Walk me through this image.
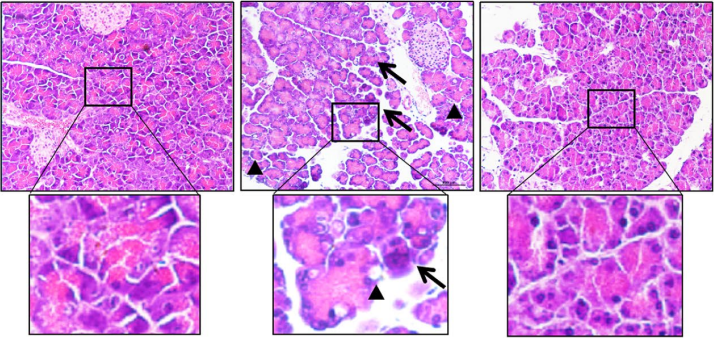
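These are three sections of pancreas in which the exocrine acinar cells fill most of the field, with pale, rounded islets showing as lighter patches. In the left section the acini are tightly packed, the cells having pink granular cytoplasm and round purple nuclei, with only thin boundaries between them. In the middle section the tissue is broken up: acini are pulled apart by wide clear spaces, many cells look rounded and detached, and several have dark, condensed nuclei. Pale clear vacuoles appear within and between the acinar cells there. The right section looks closer to the left one, with acini again fairly compact and only scattered narrow gaps between them.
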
